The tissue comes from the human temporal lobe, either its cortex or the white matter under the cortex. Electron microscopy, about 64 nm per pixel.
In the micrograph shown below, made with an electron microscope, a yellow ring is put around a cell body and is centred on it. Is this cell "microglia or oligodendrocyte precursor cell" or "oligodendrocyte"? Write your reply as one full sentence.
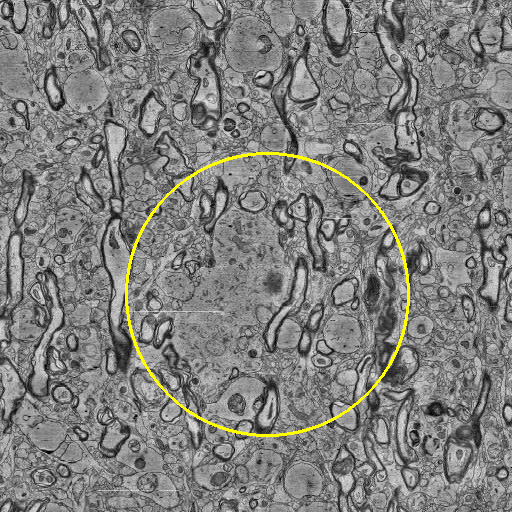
In the micrograph, a microglial cell or oligodendrocyte precursor cell is the cell at the centre of the yellow ring.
